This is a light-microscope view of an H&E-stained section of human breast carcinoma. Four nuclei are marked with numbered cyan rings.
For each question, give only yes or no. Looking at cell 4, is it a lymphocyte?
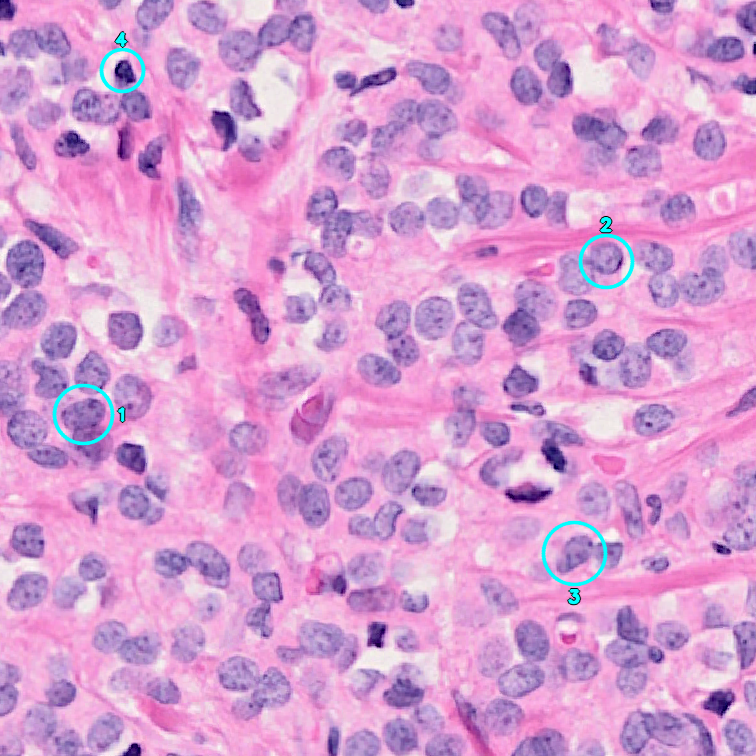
yes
